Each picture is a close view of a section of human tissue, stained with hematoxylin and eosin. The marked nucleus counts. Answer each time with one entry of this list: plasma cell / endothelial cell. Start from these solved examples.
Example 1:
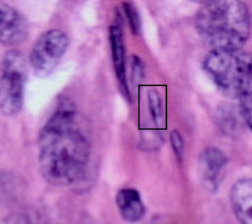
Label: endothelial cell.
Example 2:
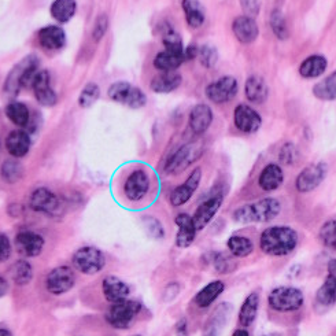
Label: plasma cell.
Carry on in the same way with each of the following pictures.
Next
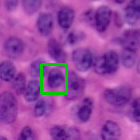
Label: plasma cell.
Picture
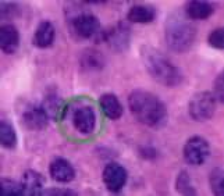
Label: plasma cell.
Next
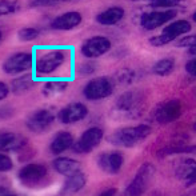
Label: plasma cell.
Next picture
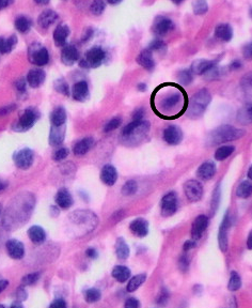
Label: endothelial cell.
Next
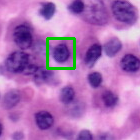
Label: plasma cell.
